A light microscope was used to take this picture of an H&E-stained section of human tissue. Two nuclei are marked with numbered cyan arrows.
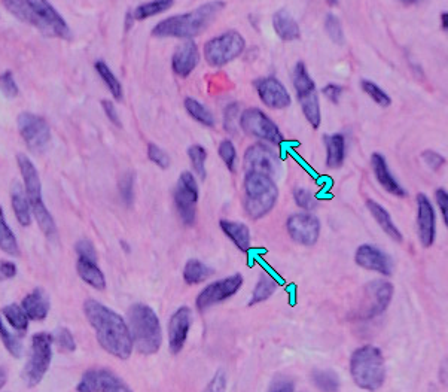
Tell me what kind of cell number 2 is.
endothelial cell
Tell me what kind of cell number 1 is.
fibroblast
